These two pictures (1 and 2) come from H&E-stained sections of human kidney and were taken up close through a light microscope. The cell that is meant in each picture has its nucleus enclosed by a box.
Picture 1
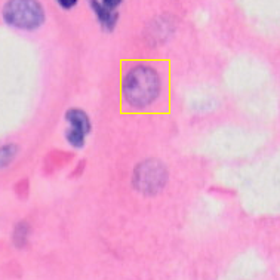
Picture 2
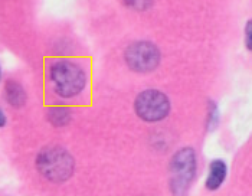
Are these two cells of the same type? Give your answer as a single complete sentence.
Yes, the two pictures both show proximal tubule cells.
